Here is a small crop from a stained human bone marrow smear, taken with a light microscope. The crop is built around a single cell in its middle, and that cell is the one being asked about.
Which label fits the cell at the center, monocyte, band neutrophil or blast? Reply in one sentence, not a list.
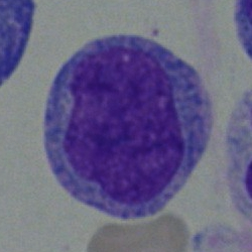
Present in the middle of the crop is a monocyte.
